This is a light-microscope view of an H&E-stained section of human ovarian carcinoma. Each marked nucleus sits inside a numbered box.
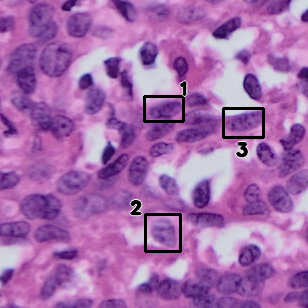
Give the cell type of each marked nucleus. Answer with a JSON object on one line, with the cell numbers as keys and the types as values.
{"1": "carcinoma cell", "2": "macrophage or monocyte", "3": "carcinoma cell"}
